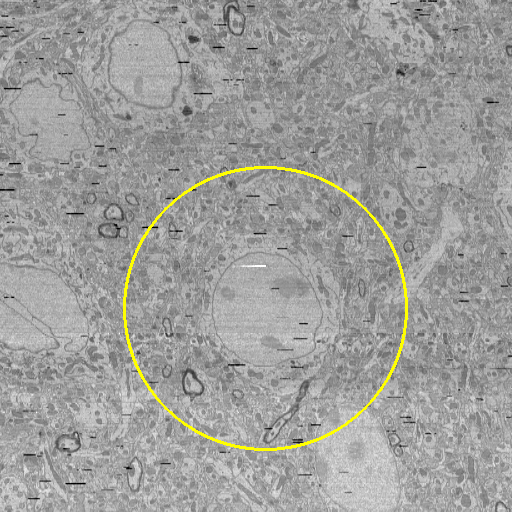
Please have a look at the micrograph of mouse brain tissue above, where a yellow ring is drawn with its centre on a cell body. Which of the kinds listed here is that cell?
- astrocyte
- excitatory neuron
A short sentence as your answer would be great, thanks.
At the centre of the ring sits an excitatory neuron.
